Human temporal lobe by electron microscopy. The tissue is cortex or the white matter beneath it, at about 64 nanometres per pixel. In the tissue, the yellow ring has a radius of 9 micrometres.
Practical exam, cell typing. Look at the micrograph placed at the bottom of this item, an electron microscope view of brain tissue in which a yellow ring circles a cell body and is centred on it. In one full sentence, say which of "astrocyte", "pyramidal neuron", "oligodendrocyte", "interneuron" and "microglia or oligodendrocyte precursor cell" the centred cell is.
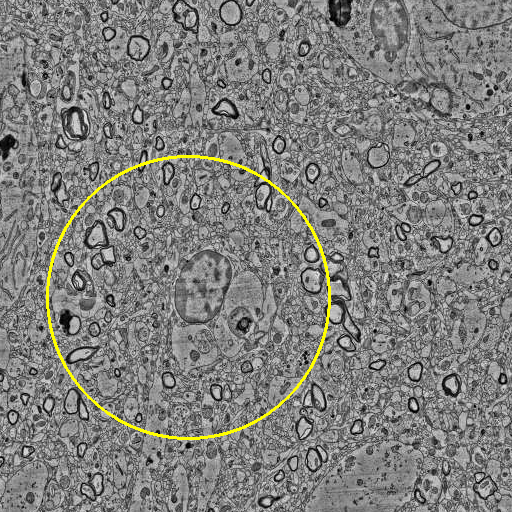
Given the options, a microglial cell or oligodendrocyte precursor cell fits the cell whose body the yellow ring is centred on.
